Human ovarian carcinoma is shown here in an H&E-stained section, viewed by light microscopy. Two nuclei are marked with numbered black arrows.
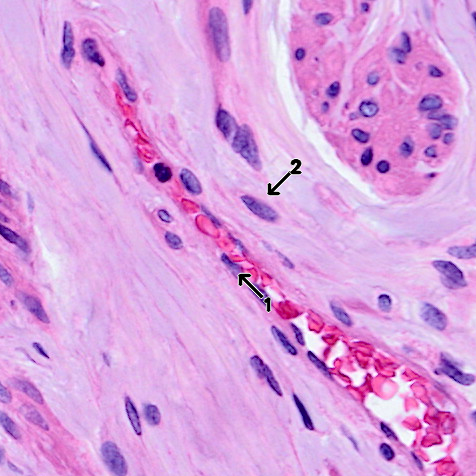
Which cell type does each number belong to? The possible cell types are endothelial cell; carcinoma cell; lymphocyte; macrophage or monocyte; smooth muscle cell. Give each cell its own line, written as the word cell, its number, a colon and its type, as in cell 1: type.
cell 1: endothelial cell
cell 2: smooth muscle cell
